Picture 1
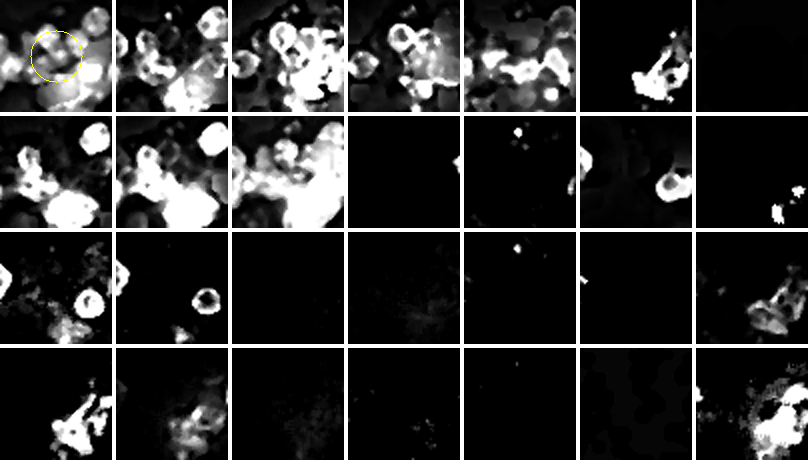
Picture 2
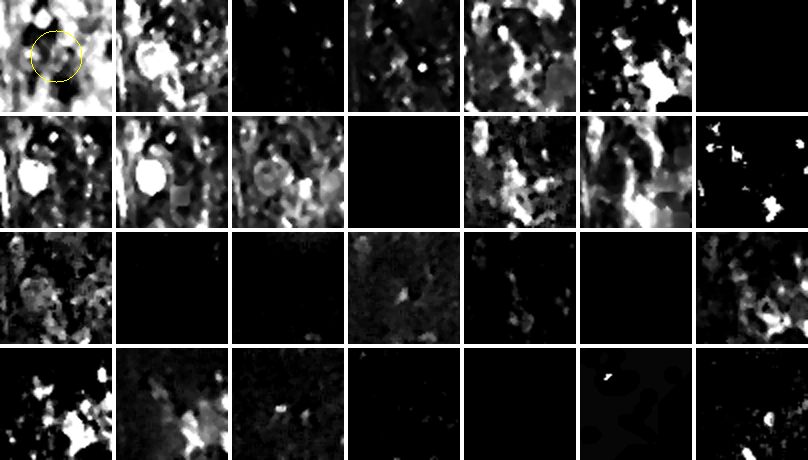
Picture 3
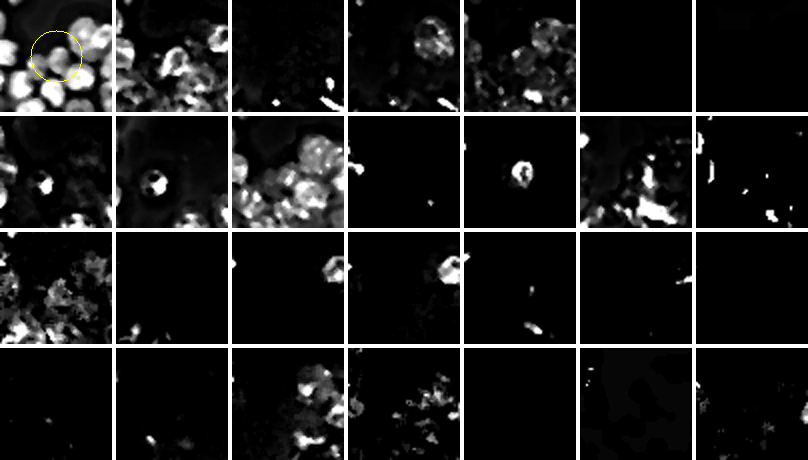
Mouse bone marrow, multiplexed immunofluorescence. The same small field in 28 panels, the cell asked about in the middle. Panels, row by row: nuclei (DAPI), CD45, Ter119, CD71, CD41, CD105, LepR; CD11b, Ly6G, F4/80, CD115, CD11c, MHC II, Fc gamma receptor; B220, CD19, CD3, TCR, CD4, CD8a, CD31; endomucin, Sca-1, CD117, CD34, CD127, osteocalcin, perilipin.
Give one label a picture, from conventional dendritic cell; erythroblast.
(1) erythroblast
(2) conventional dendritic cell
(3) conventional dendritic cell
